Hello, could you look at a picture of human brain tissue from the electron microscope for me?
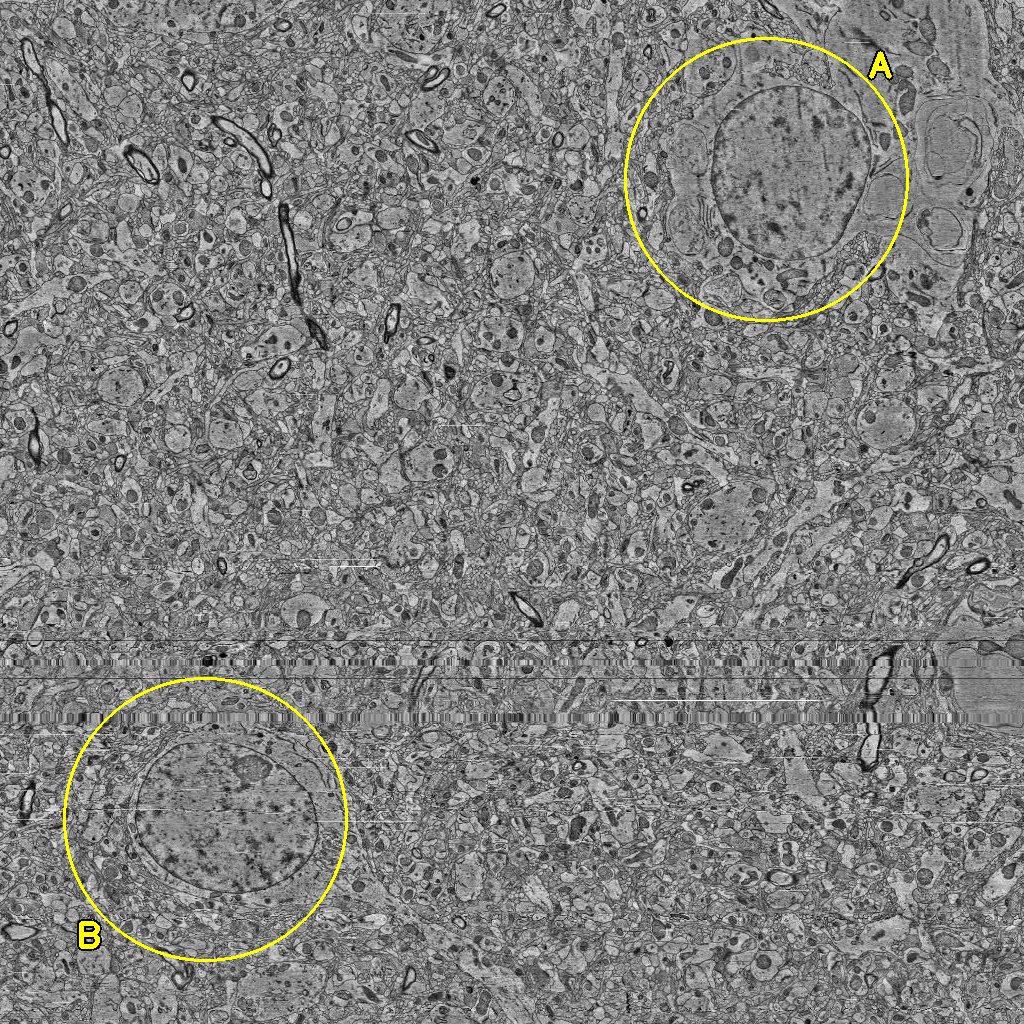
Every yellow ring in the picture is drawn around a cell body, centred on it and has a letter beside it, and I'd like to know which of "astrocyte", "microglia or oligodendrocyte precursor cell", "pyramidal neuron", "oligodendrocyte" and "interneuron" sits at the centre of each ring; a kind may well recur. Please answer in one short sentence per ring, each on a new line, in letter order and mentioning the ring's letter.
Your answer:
The cell sitting at the centre of ring A is an astrocyte.
The cell sitting at the centre of ring B is a pyramidal neuron.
